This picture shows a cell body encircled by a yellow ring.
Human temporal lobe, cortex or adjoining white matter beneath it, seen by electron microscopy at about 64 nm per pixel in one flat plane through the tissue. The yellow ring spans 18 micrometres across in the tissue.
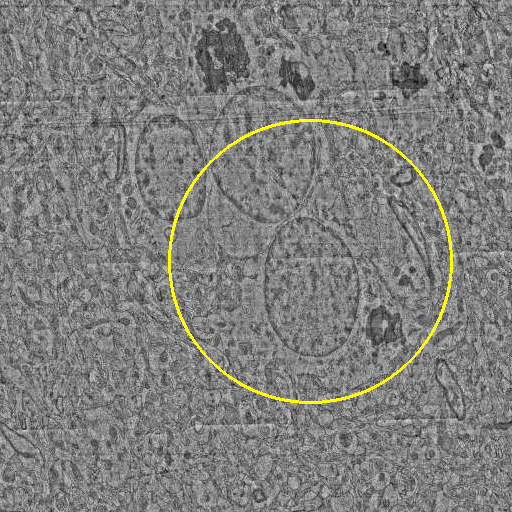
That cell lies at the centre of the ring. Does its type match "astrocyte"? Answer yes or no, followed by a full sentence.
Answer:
Yes, in the picture, the ring surrounds a cell of that type at its centre.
